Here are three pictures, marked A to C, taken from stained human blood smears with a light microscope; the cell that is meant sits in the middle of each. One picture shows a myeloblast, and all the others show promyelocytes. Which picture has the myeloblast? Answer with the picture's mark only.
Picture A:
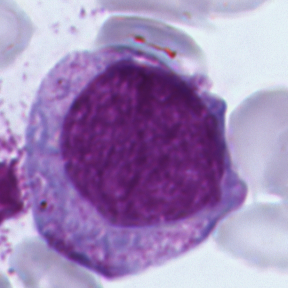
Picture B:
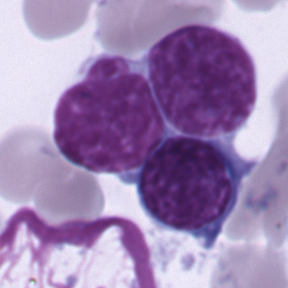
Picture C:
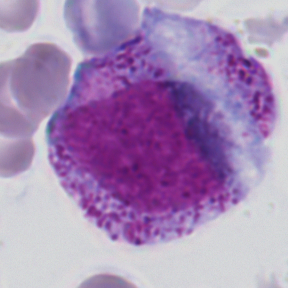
B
